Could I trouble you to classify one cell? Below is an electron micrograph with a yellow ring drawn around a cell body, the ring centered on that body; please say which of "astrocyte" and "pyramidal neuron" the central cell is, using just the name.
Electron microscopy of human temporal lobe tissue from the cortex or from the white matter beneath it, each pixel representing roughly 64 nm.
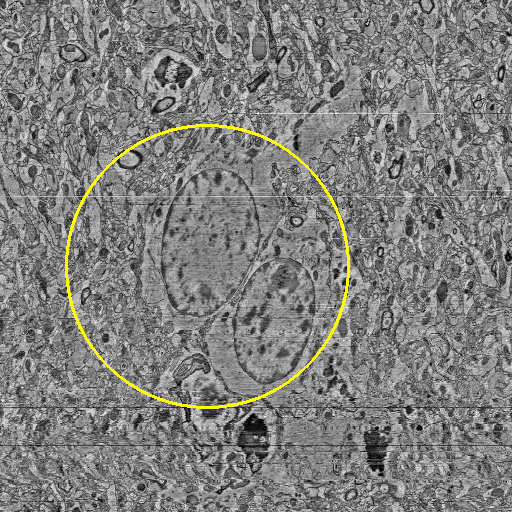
astrocyte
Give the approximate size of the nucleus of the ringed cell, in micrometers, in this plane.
The nucleus is about 10 micrometres in length and 6 in width, clearly longer than it is wide in this plane.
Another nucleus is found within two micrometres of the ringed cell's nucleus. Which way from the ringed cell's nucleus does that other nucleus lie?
That other nucleus sits to the lower right of it.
